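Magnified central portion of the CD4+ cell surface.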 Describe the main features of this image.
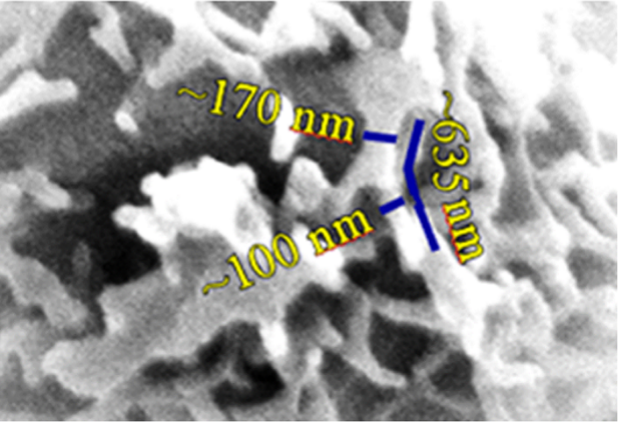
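The projections are narrow rods and ribbons that twist and overlap, with dark gaps between them showing depth. Individual microvilli are far longer than they are wide, and some branch or bend along their length.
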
